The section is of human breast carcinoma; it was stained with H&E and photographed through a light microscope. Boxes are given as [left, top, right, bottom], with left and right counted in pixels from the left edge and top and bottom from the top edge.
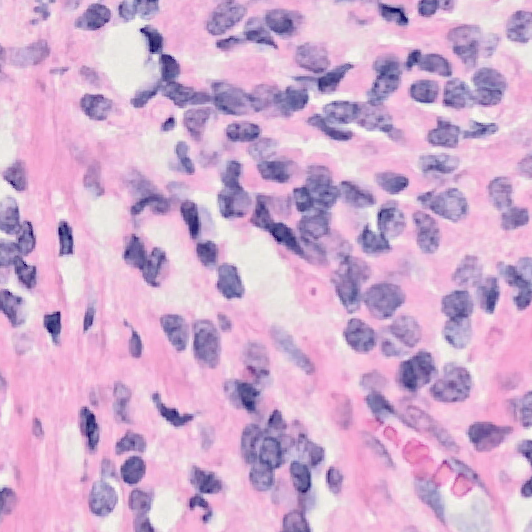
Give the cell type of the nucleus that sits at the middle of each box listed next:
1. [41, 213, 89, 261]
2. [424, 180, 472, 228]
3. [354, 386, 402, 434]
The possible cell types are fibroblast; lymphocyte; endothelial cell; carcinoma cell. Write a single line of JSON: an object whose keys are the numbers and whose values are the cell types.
{"1": "lymphocyte", "2": "carcinoma cell", "3": "endothelial cell"}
